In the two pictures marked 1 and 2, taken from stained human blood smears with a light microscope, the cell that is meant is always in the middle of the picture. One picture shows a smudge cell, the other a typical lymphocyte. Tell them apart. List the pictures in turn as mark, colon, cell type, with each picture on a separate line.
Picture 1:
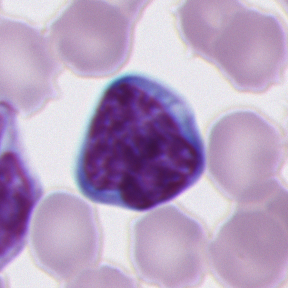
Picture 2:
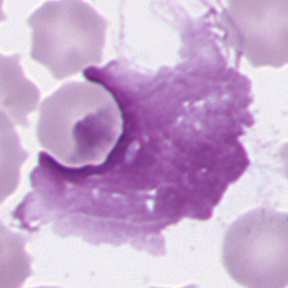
1: typical lymphocyte
2: smudge cell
